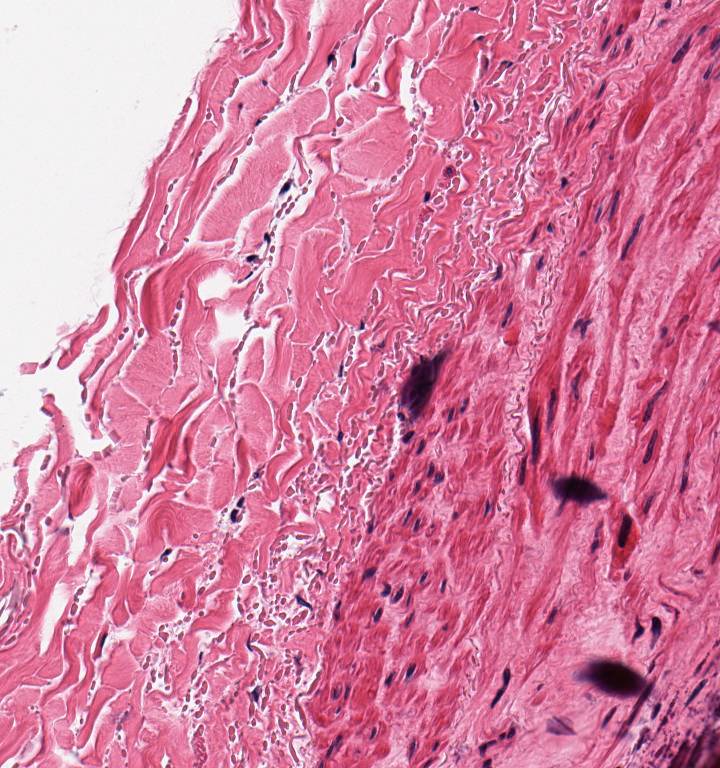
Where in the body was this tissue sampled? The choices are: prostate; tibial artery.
tibial artery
